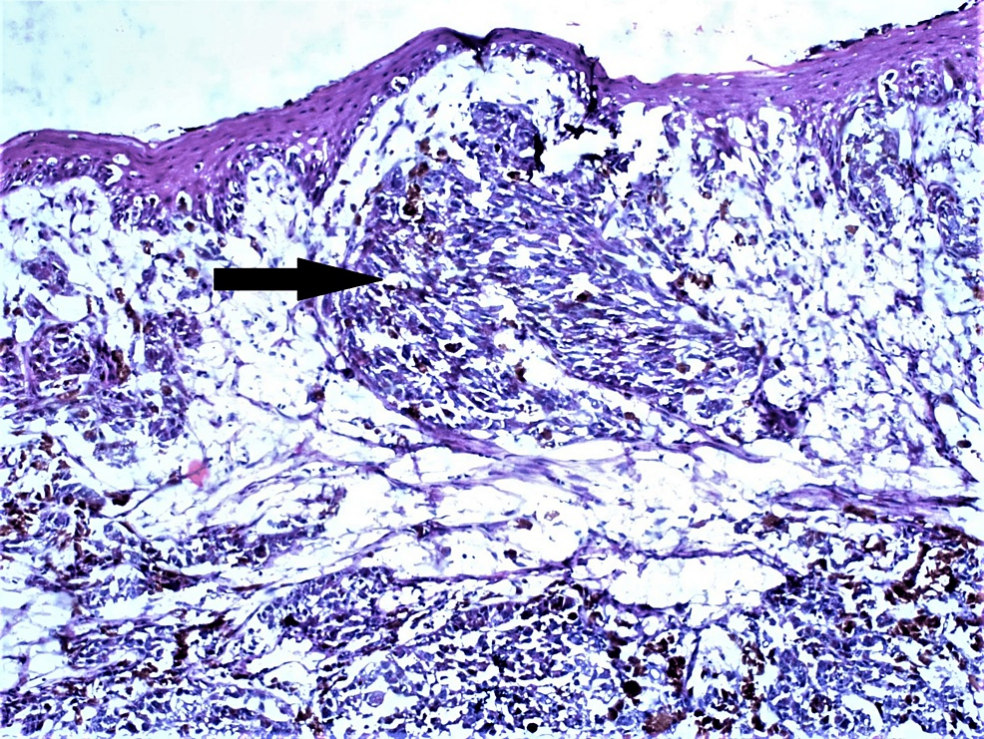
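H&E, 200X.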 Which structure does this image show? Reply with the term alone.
Lobules of tumour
